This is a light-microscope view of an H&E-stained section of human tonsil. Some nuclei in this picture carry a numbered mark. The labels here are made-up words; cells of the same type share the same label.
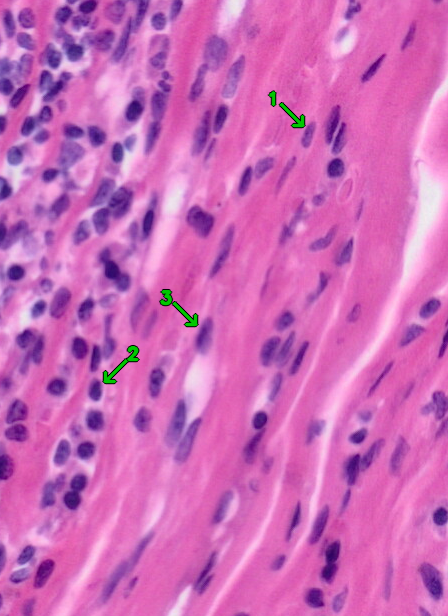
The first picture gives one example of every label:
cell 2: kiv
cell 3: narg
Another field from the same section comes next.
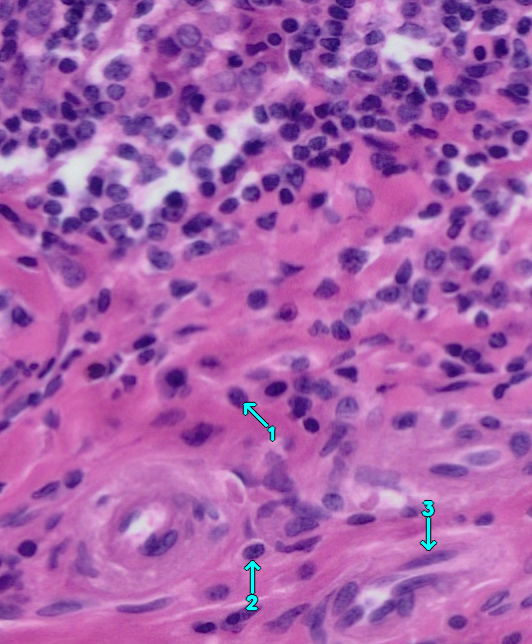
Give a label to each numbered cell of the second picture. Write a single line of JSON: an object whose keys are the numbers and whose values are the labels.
{"1": "kiv", "2": "kiv", "3": "narg"}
